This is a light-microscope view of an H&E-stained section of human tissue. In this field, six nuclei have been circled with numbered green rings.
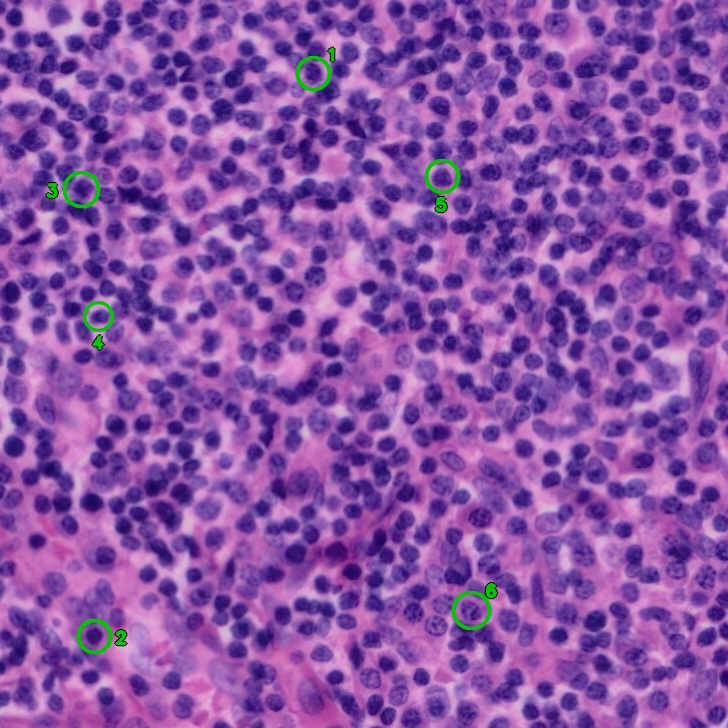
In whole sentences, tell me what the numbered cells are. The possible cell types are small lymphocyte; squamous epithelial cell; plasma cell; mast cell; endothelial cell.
Cells 1, 3, 4 and 5 are small lymphocytes. Cell 2 is an endothelial cell. Cell 6 is a plasma cell.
